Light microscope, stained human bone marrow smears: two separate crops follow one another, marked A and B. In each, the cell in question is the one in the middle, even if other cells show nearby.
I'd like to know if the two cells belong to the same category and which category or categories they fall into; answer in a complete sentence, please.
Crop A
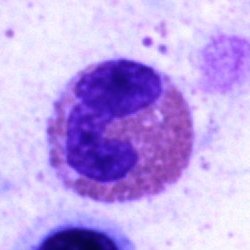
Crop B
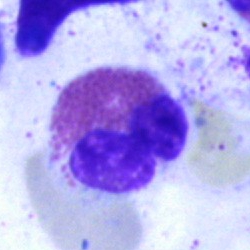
Yes, as shown in both crops, the central cells are eosinophils.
